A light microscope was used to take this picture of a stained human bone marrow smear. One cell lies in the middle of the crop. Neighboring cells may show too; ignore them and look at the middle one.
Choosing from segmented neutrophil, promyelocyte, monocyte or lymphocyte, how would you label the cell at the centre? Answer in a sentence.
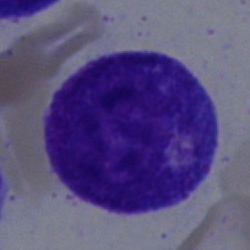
Where the crop is centred, there is a promyelocyte.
